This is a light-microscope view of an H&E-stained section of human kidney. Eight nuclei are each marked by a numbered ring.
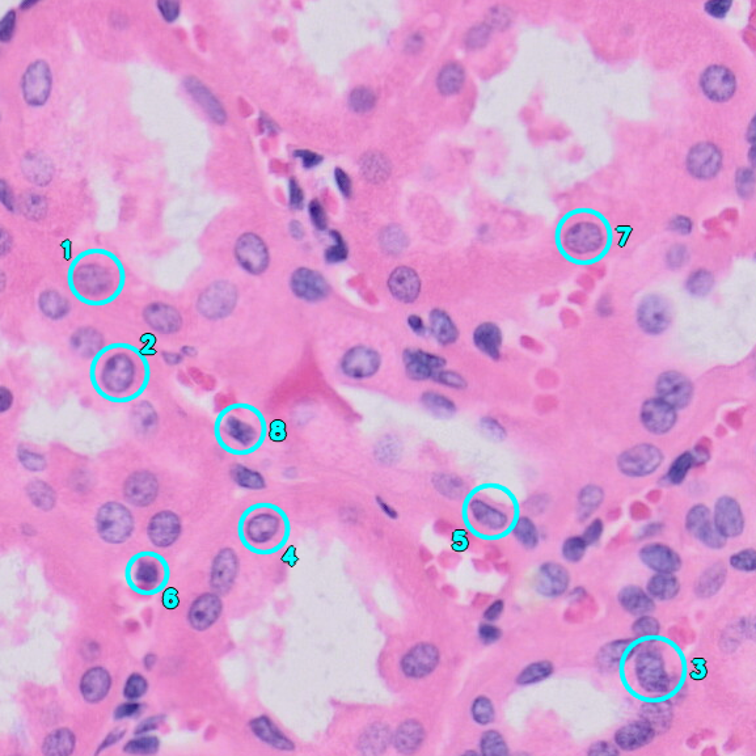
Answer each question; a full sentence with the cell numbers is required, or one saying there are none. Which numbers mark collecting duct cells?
The cells carrying labels 3 and 5 are collecting duct cells.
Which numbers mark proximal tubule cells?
Into the category of proximal tubule cells fall the cells numbered 1, 2, 4 and 7.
